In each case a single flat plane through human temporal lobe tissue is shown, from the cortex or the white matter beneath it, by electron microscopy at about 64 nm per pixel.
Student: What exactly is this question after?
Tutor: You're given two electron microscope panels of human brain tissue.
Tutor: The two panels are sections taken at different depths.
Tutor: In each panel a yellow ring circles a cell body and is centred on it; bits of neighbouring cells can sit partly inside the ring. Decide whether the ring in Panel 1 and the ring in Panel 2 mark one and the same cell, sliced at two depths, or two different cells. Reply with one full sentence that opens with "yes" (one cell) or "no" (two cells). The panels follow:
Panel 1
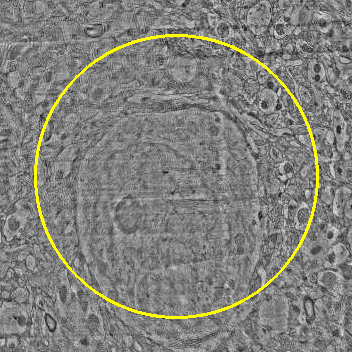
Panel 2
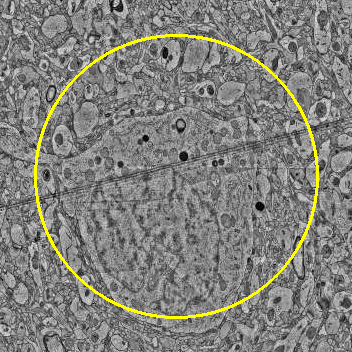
Yes, the first and second rings frame the same single cell.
